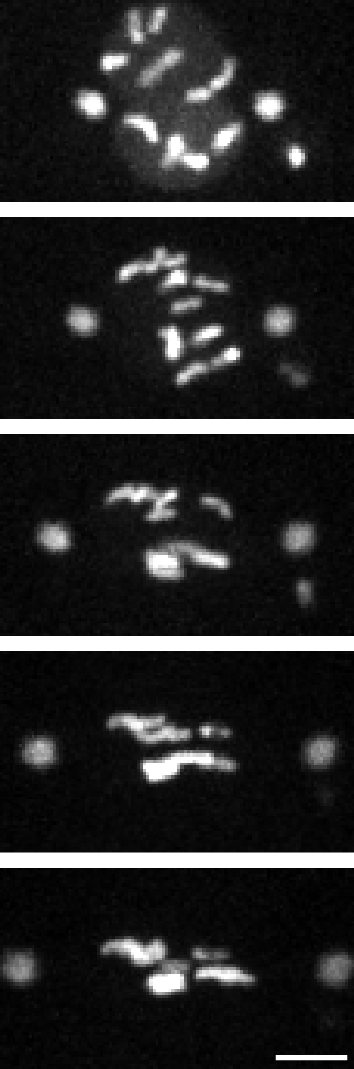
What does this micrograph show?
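The rods begin scattered in a round dimmer area between the poles. Unlike a normal division, they never gather into a single line in the middle; they stay as a loose, irregular cluster of rods, many lying along the axis joining the poles rather than across it. No two separate sets of chromosomes move apart in the last frame.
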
